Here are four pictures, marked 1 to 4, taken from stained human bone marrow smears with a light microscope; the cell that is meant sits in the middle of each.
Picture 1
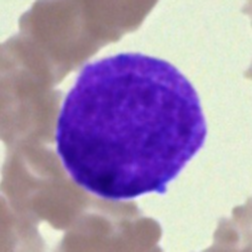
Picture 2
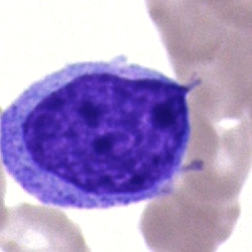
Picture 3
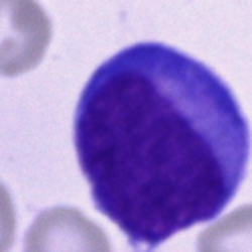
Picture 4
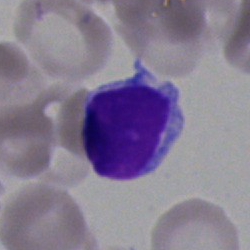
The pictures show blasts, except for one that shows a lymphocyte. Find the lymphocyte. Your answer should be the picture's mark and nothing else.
4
